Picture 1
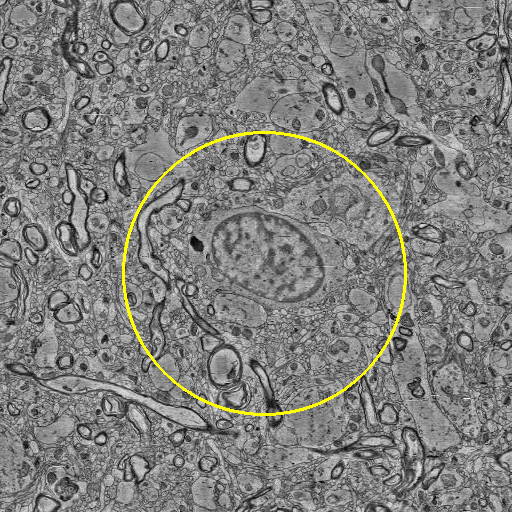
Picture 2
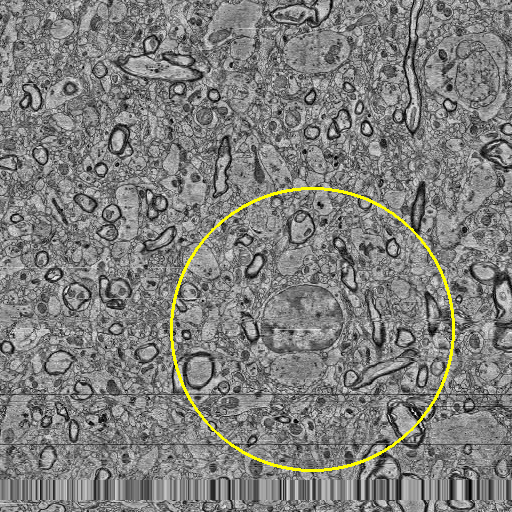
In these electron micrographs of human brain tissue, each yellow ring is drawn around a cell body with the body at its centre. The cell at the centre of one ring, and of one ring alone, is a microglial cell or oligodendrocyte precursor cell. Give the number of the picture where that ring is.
2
